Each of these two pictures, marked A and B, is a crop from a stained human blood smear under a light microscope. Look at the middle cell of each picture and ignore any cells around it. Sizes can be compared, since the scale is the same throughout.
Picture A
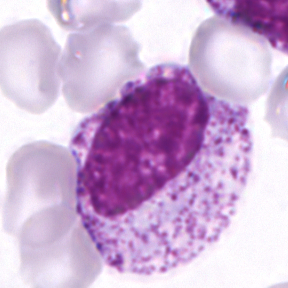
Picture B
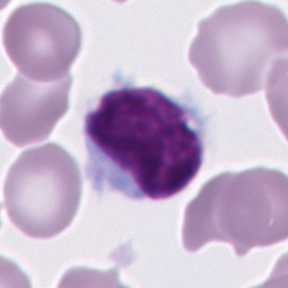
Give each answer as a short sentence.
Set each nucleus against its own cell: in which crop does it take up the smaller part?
Of the two, the nucleus in picture A leaves more room for cytoplasm.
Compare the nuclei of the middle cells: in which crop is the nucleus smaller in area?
Smaller is the nucleus in picture B, and the other is about 1.5 times as large in area.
